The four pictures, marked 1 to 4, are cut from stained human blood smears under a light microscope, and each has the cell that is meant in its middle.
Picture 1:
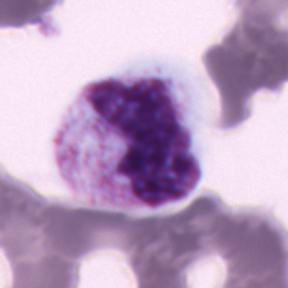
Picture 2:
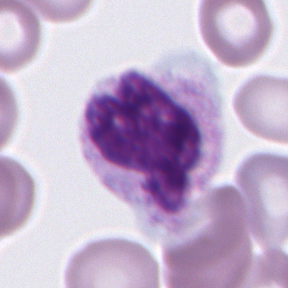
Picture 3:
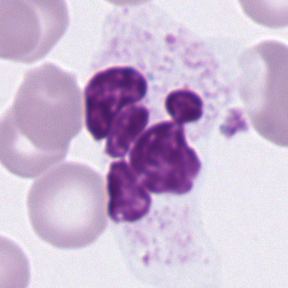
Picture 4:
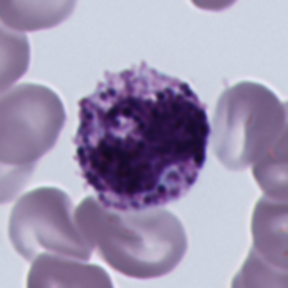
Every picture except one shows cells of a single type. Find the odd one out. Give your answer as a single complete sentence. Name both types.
Picture 4 is the odd one out: it shows a basophil, while the others show segmented neutrophils.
